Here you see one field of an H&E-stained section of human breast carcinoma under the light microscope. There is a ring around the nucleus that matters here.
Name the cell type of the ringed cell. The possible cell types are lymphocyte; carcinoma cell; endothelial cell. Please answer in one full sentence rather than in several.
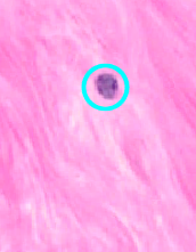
What the ringed cell represents is a lymphocyte.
